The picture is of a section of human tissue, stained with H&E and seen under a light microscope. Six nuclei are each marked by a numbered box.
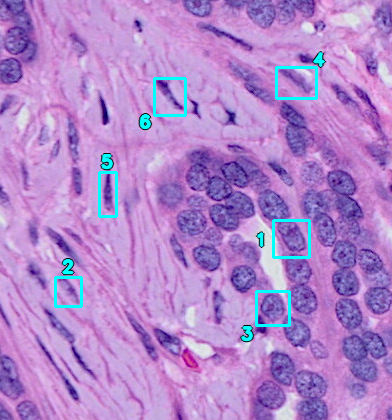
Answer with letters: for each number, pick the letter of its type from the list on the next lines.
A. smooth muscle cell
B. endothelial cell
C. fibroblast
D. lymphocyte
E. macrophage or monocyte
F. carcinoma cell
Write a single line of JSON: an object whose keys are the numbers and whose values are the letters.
{"1": "F", "2": "C", "3": "F", "4": "C", "5": "C", "6": "C"}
